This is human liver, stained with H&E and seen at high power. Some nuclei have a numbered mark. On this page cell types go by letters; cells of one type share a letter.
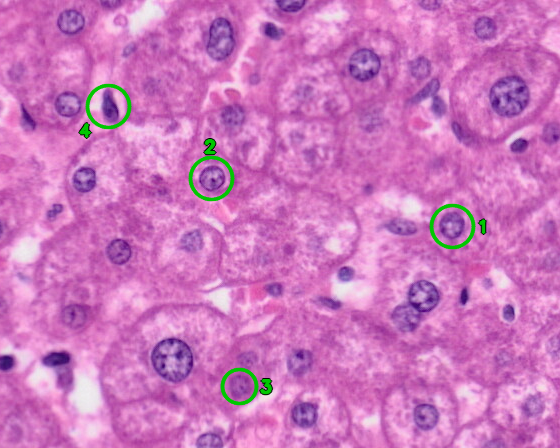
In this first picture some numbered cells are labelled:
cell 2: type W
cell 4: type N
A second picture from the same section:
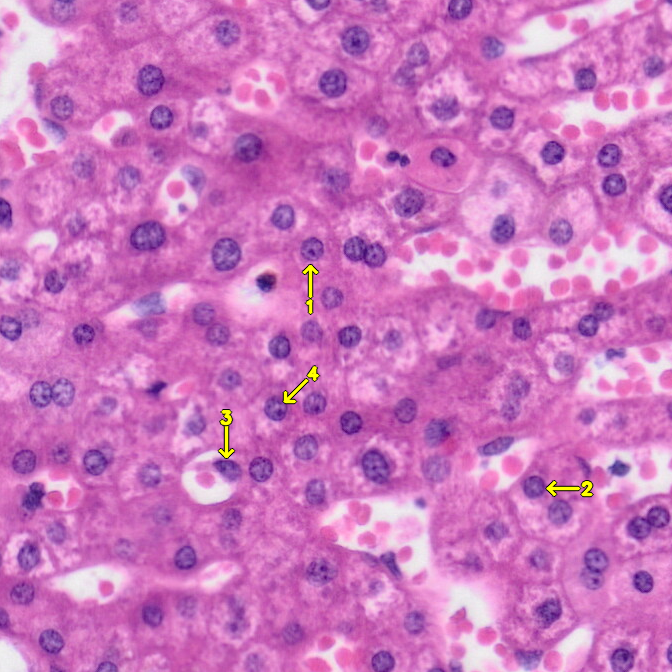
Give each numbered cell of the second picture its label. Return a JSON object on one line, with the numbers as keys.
{"1": "type W", "2": "type W", "3": "type N", "4": "type W"}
